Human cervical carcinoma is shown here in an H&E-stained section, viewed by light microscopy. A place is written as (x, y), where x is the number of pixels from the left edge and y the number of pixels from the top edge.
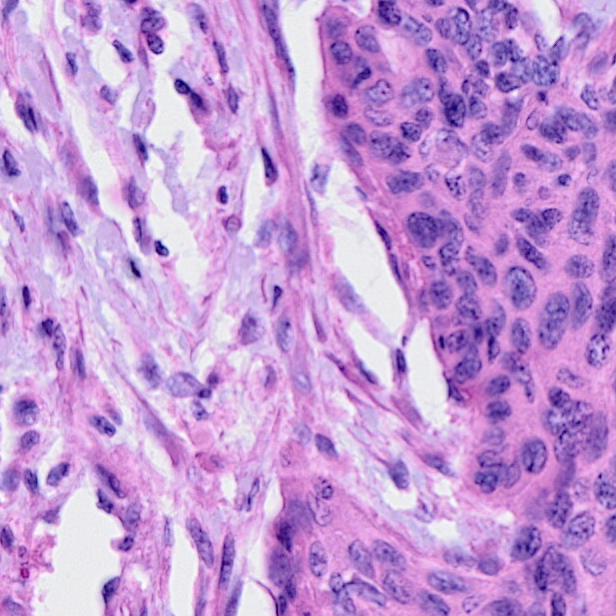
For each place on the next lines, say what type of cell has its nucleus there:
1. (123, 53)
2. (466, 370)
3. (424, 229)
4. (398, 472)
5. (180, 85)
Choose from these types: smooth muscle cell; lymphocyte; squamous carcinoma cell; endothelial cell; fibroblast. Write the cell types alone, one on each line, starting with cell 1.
lymphocyte
squamous carcinoma cell
squamous carcinoma cell
fibroblast
lymphocyte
